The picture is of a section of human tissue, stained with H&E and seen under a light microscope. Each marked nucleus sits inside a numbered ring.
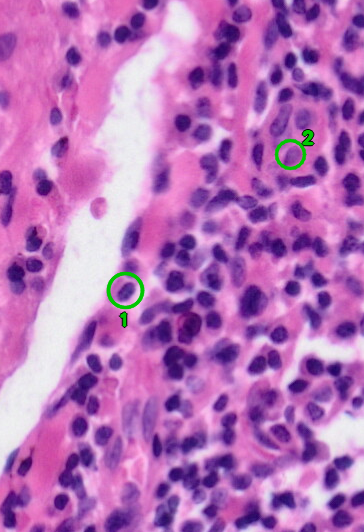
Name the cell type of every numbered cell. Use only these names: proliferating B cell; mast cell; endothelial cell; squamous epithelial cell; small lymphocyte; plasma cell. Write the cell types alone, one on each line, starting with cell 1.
mast cell
endothelial cell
